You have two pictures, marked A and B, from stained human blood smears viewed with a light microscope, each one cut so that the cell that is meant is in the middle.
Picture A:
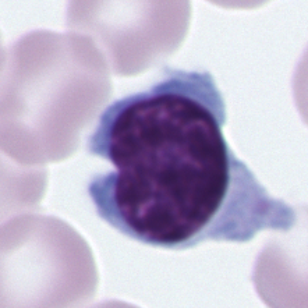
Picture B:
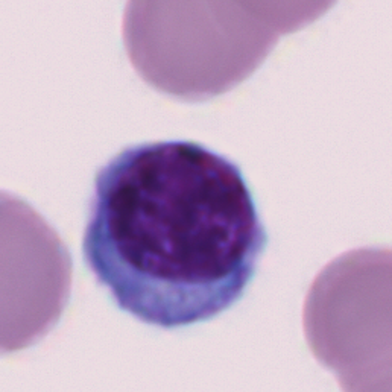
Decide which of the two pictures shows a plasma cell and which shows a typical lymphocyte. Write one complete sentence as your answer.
The cell in picture A is a typical lymphocyte, and the one in picture B is a plasma cell.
